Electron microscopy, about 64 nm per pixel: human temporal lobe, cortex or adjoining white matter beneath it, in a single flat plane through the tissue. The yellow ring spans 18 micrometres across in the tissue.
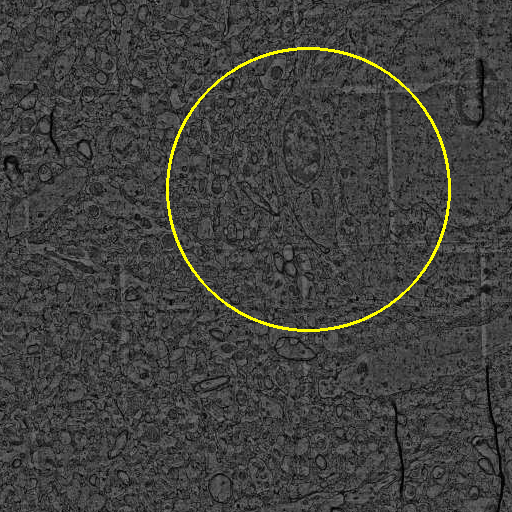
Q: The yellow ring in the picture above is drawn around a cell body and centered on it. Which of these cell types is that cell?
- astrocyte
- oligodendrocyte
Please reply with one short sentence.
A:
The cell body at the ring's center belongs to an oligodendrocyte.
